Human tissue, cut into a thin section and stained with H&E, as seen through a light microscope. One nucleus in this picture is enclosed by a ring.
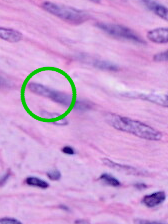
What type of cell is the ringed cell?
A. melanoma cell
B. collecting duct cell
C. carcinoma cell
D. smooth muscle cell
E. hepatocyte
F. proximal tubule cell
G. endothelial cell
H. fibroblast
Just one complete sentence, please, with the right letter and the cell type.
As stated in option D, the ringed cell is a smooth muscle cell.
